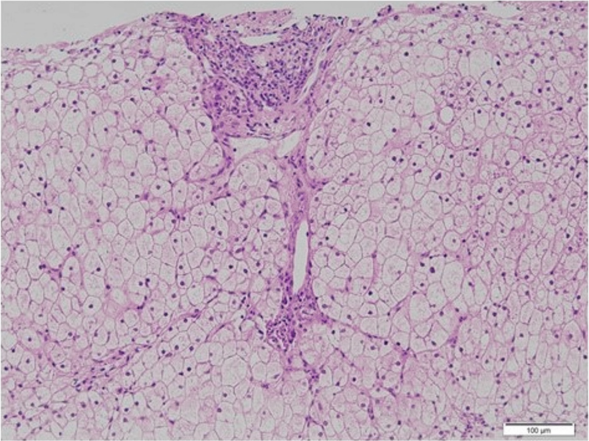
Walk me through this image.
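This is liver tissue made of sheets of large polygonal hepatocytes whose cytoplasm is pale, clear and vacuolated, so that the pink cell membranes stand out sharply like a mosaic. Each cell holds a small, round, dark central nucleus. Between the sheets lie small vessels and a small portal area with a cluster of densely packed, dark-nucleated inflammatory cells.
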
